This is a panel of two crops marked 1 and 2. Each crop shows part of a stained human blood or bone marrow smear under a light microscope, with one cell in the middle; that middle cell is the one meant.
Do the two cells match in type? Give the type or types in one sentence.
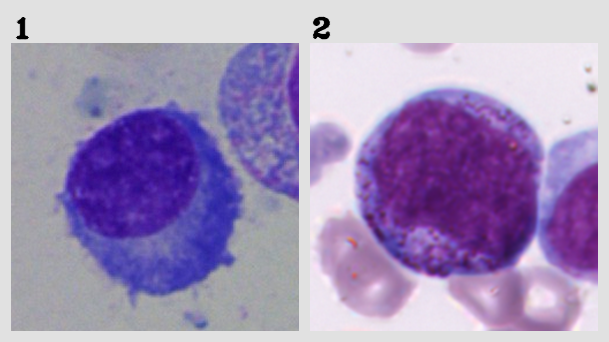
No, a plasma cell is in crop 1, while a promyelocyte is in crop 2.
